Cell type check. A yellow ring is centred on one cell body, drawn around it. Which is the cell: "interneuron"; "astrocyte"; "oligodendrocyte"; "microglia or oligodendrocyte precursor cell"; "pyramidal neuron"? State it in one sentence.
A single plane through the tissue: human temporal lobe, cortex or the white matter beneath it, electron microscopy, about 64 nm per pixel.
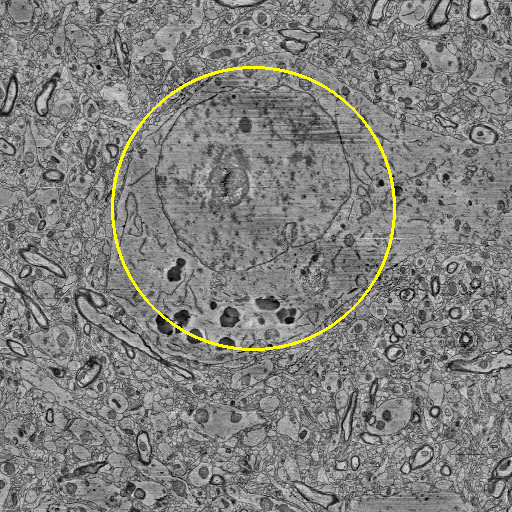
The cell body at the ring's centre belongs to a pyramidal neuron.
